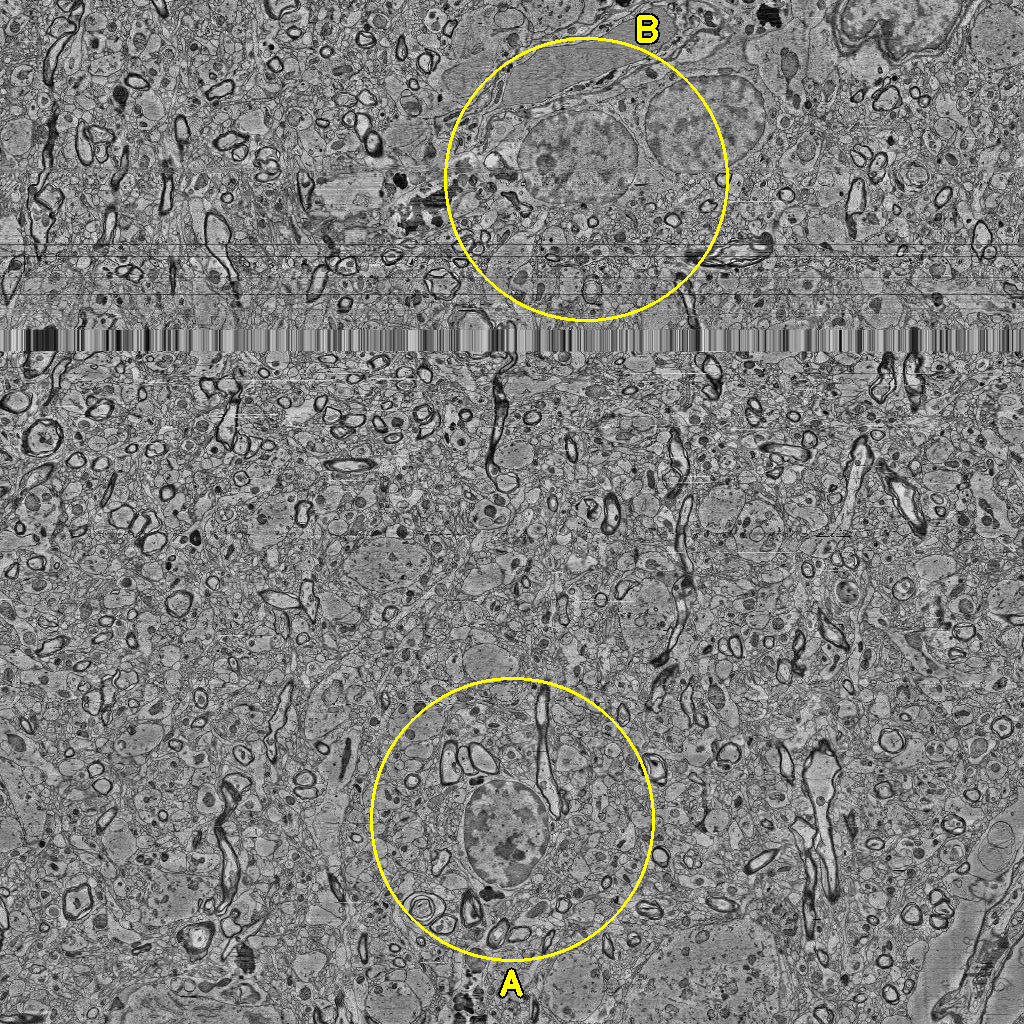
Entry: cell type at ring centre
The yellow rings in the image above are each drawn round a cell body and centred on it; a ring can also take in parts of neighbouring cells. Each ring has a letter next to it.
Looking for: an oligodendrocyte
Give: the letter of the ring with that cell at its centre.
B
